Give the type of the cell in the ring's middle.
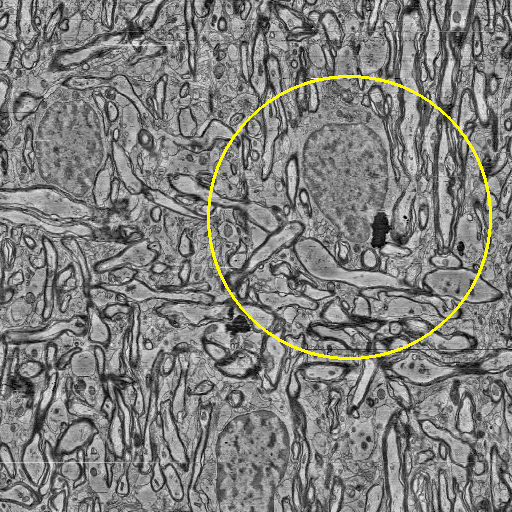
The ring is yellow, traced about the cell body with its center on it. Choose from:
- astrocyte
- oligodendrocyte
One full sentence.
Here, an oligodendrocyte is the cell lying at the center of the yellow ring.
